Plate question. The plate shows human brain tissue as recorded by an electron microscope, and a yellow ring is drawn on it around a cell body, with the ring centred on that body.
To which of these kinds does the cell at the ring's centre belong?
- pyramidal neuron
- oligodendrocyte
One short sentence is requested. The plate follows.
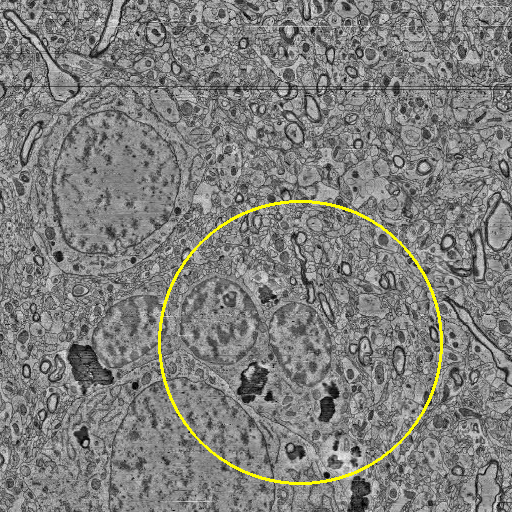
The cell at the ring's centre is an oligodendrocyte.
